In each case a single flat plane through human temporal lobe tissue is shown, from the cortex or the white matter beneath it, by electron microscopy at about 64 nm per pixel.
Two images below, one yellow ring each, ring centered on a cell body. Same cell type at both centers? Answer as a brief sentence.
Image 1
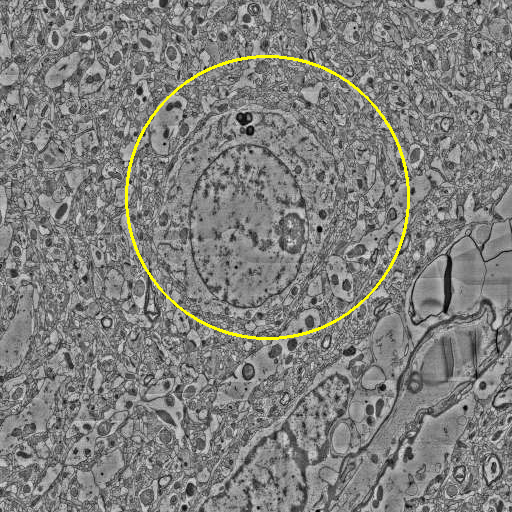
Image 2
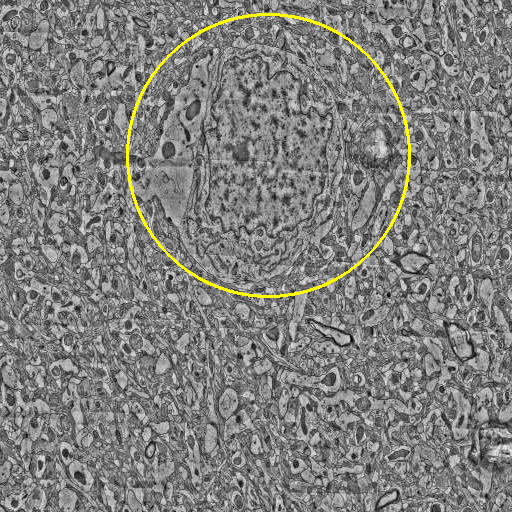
No, the cells are of two separate types.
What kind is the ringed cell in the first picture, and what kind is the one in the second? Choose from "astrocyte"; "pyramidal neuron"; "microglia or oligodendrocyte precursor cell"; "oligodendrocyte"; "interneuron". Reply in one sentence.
The first cell is a pyramidal neuron; the second is an interneuron.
